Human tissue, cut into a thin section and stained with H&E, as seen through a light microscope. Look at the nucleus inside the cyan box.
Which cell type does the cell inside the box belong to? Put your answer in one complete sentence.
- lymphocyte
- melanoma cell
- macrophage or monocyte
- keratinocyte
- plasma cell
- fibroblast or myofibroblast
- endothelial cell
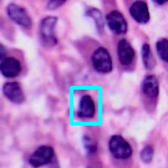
So far as cell type goes, the cell inside the box is a plasma cell.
